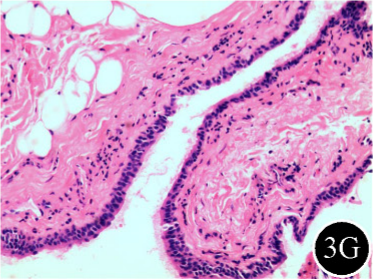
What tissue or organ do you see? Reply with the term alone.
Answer: Pseudostratified ciliated columnar epithelium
